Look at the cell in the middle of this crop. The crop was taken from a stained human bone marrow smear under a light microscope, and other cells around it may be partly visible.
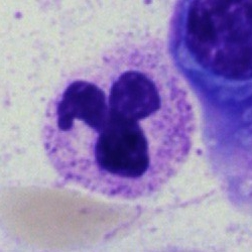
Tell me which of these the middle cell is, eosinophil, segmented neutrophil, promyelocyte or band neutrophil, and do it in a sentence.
Classification of the middle cell gives a segmented neutrophil.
